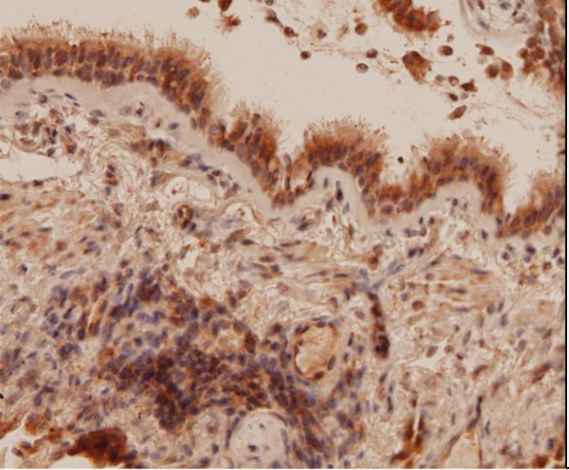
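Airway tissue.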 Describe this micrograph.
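Groups of detached brown epithelial cells float in the lumen. Beneath a pale band the connective tissue holds scattered spindle-shaped cells with blue nuclei, and lower down a denser cluster of small cells with brownish staining.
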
